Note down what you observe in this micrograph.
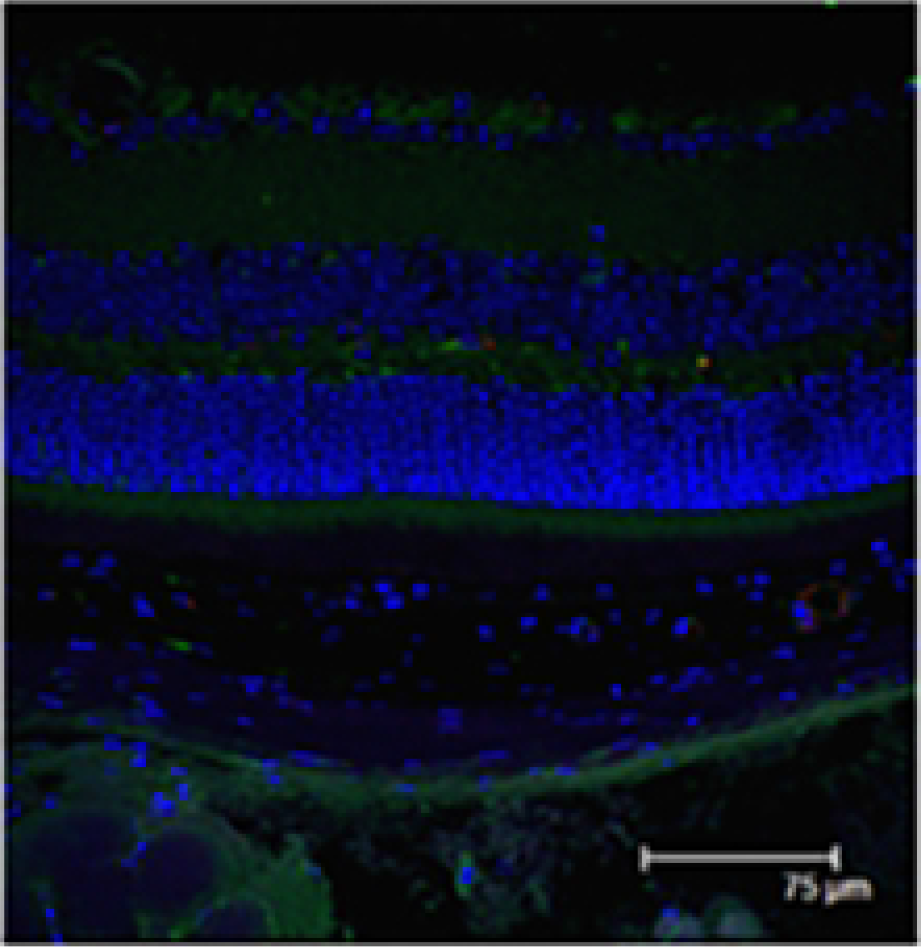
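This section of the retina shows its layered architecture, with bands of blue-stained nuclei separated by nucleus-poor plexiform bands. Near the top lies a sparse row of nuclei of the ganglion cell layer, followed by a faintly green inner plexiform band. Below it lie the inner nuclear layer and a thicker, densely packed outer nuclear layer. Beneath the retina lie looser tissue with scattered nuclei and occasional small red-outlined vessels.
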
